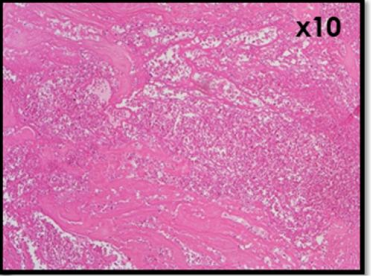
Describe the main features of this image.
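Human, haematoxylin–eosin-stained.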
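This is a section of a thrombus in which strongly pink, eosinophilic fibrin forms wavy strands and bands across the field. In the centre and lower left a focal patch of many small, round, closely packed cells lies among the fibrin, consistent with red blood cells. Small clefts separate some of the bands of pink material.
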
